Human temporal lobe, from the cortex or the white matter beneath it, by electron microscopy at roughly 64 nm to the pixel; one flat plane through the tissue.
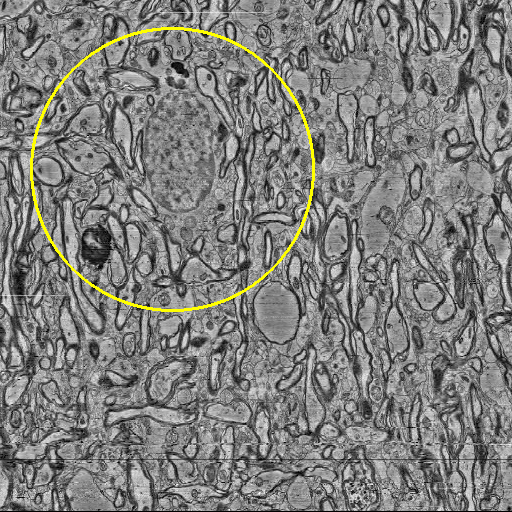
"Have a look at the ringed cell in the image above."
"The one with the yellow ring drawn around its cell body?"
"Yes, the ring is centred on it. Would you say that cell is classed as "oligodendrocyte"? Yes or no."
yes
